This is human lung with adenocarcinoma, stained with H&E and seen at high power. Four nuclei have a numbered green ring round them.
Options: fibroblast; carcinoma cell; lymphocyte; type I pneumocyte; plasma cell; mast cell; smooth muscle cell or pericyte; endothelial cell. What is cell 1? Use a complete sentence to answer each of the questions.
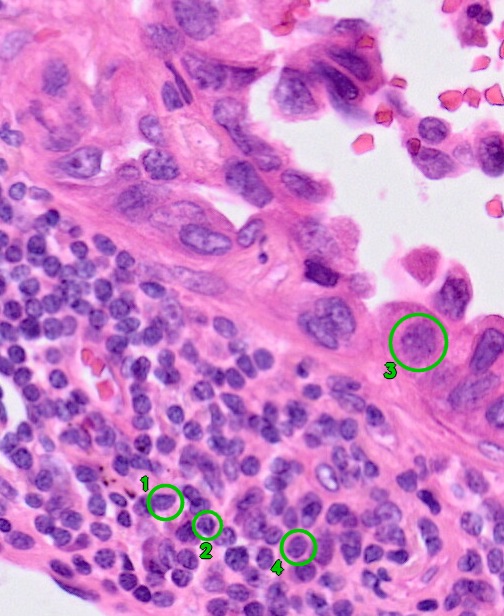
That cell with number 1 is a lymphocyte.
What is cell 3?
To a carcinoma cell belongs the nucleus marked 3.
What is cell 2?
The one labeled 2 is a lymphocyte, to put it simply.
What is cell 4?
The cell numbered 4 represents a lymphocyte.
